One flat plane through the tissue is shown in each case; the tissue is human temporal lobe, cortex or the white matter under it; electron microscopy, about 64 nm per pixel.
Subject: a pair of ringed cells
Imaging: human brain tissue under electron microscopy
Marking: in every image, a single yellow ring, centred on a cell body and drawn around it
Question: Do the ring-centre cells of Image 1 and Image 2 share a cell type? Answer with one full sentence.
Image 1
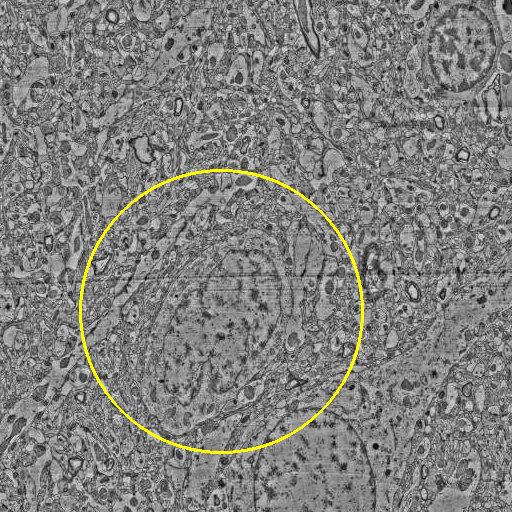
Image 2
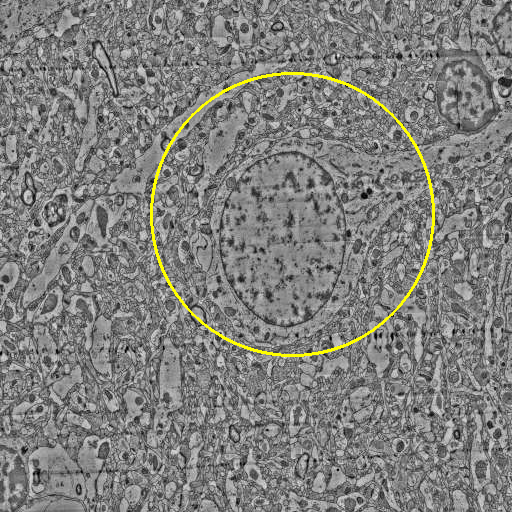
No, at the ring centres in the images sit cells of two separate types.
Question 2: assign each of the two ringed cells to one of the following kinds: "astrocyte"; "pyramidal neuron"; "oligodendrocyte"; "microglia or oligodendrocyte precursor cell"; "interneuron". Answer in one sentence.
The two cells are an interneuron in the first picture and a pyramidal neuron in the second.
